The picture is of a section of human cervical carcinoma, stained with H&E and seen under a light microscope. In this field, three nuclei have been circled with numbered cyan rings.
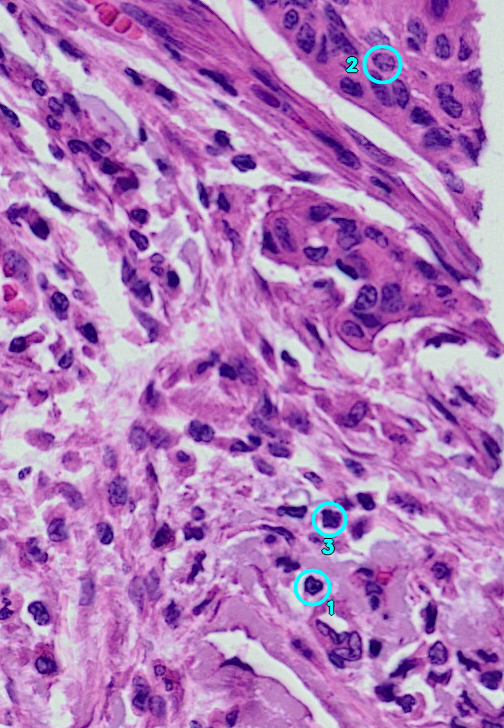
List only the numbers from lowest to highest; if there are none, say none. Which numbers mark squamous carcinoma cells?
2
